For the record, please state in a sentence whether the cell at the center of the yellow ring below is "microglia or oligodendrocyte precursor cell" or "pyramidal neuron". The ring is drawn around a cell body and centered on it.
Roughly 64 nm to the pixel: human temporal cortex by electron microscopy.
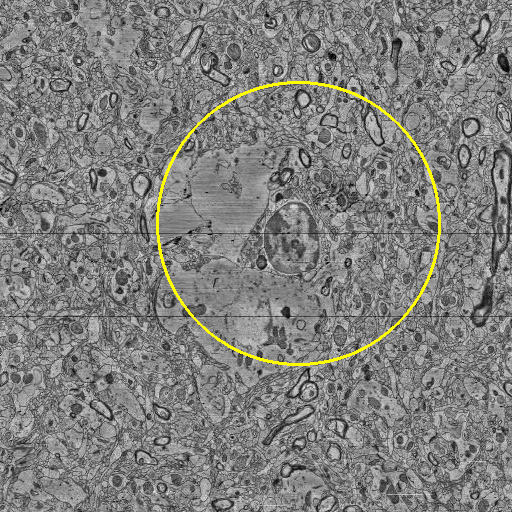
The cell at the ring's center is a microglial cell or oligodendrocyte precursor cell.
